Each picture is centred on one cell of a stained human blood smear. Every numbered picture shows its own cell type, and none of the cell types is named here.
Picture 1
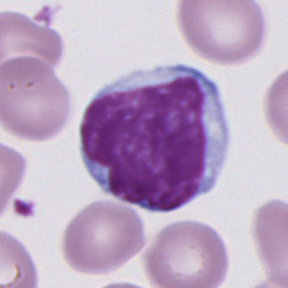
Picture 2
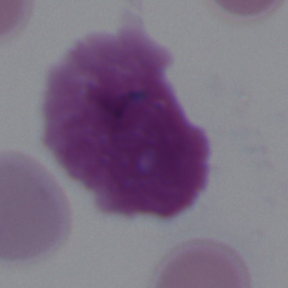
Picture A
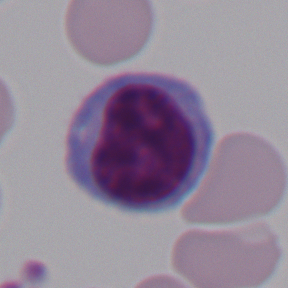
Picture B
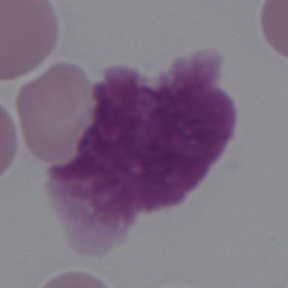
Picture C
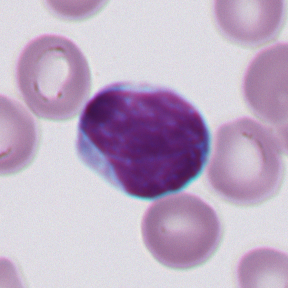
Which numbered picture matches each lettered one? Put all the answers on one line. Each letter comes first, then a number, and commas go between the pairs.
A 1, B 2, C 1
